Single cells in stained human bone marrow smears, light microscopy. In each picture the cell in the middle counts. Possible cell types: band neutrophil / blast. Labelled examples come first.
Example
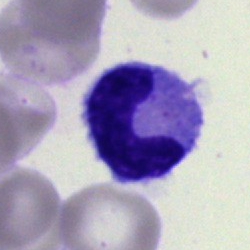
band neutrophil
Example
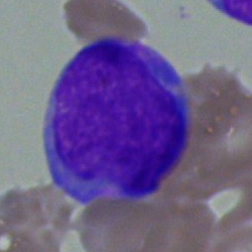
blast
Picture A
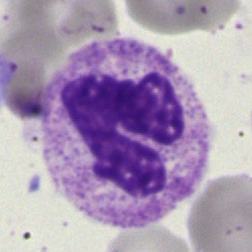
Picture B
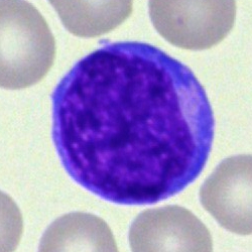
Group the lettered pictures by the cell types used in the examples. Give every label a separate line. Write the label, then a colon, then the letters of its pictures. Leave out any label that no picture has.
band neutrophil: A
blast: B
